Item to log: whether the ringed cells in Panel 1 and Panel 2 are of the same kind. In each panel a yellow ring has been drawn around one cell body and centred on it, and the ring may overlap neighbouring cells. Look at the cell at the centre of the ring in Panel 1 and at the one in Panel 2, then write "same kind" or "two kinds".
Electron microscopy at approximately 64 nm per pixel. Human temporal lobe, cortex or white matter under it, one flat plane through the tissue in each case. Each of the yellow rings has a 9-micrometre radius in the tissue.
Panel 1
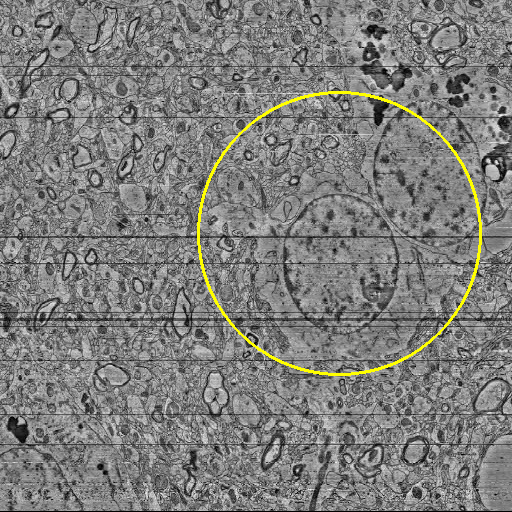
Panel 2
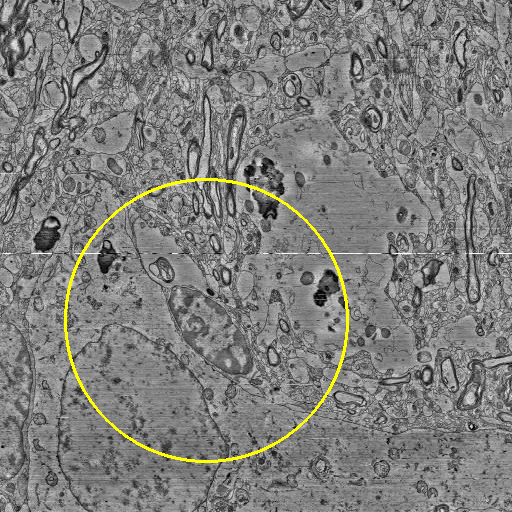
two kinds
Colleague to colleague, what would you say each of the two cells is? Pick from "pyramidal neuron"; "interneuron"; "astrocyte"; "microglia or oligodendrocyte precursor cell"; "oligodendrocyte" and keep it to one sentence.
The cell in the first picture is an astrocyte; the second picture's cell is a microglial cell or oligodendrocyte precursor cell.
